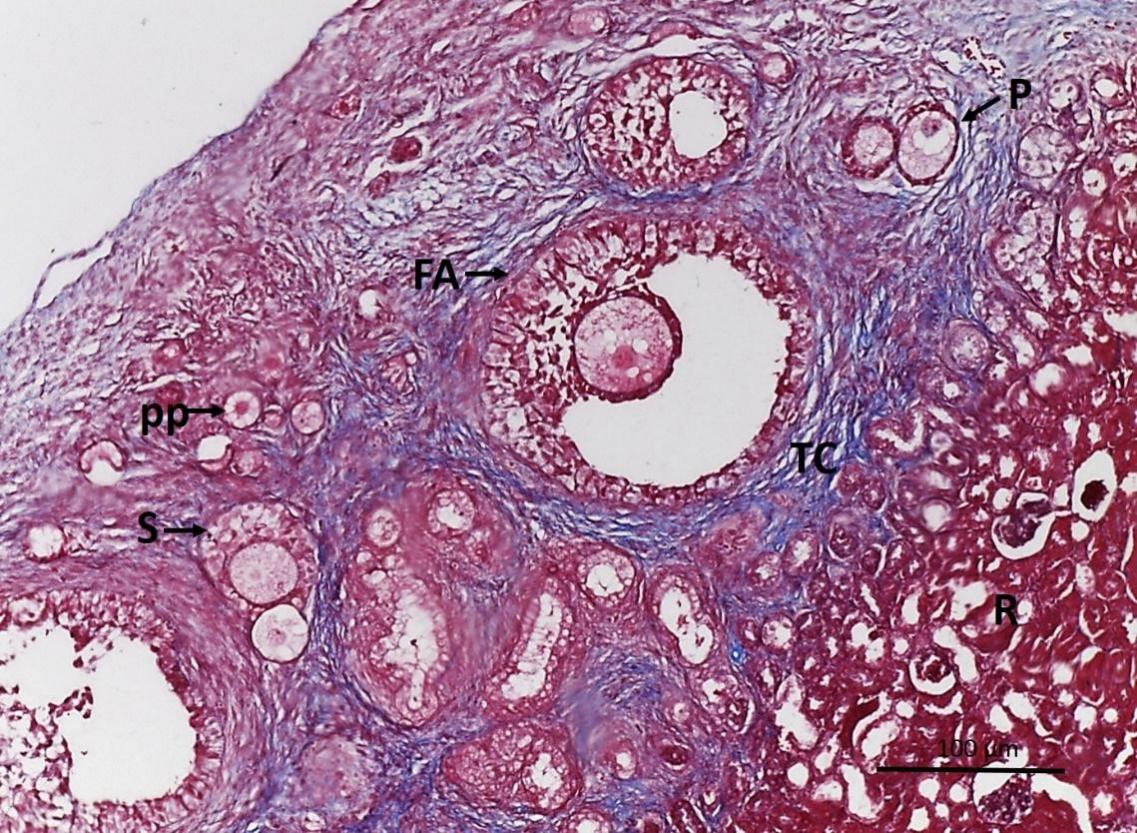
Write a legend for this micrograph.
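Ovarian cortex with follicles at several stages lies against kidney tissue, joined by blue-stained fibrous connective tissue. A large antral follicle has a fluid-filled cavity lined by several layers of granulosa cells, with the oocyte on a mound of cells at one side; nearby are secondary follicles with multilayered granulosa cells, and small primary and primordial follicles with a single rim of follicle cells near the surface. At the lower right, densely packed red-stained tubules and a glomerulus make up the renal parenchyma, merging with the ovarian tissue without a sharp border.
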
